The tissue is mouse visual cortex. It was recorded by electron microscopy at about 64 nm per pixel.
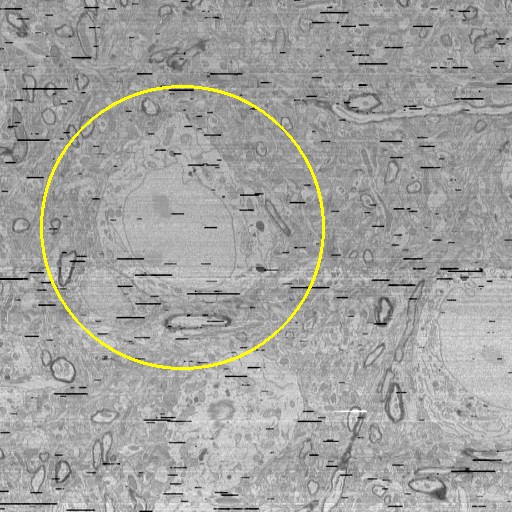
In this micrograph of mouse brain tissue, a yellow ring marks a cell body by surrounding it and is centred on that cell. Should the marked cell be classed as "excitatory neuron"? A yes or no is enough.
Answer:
yes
